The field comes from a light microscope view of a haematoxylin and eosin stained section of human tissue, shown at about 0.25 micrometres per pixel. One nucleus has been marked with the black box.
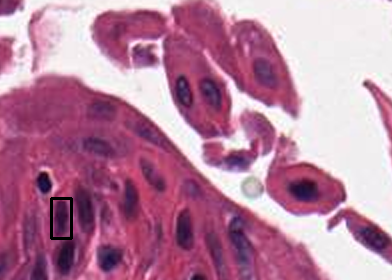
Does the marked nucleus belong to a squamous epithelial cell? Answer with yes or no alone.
yes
